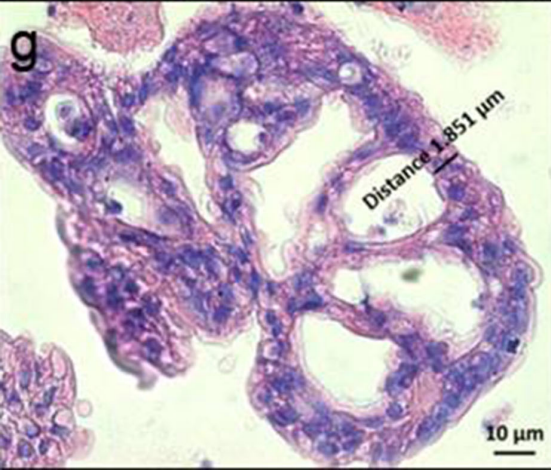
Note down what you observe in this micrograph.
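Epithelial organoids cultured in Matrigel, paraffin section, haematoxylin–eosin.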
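Several rounded cavities, empty and pale, are each lined by a thin layer of cells, and the whole mass is wrapped by an outer cell layer. The lining cells are low, with dark blue-purple nuclei lying close together and little pink cytoplasm, so the walls between cavities are thin bands of a few cells. Small round structures with clear centres sit within the walls.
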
